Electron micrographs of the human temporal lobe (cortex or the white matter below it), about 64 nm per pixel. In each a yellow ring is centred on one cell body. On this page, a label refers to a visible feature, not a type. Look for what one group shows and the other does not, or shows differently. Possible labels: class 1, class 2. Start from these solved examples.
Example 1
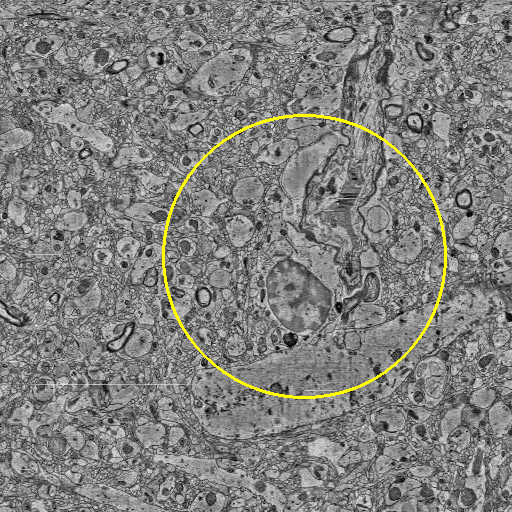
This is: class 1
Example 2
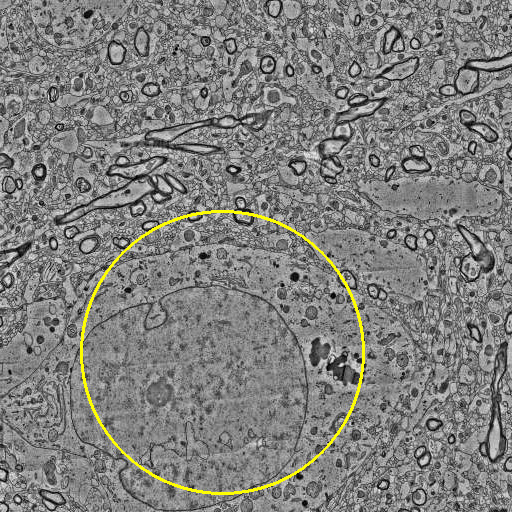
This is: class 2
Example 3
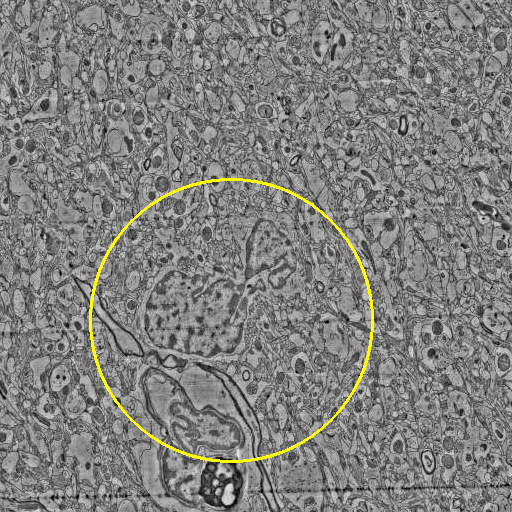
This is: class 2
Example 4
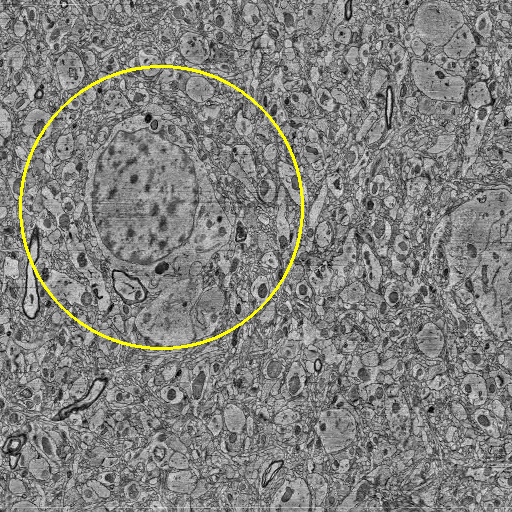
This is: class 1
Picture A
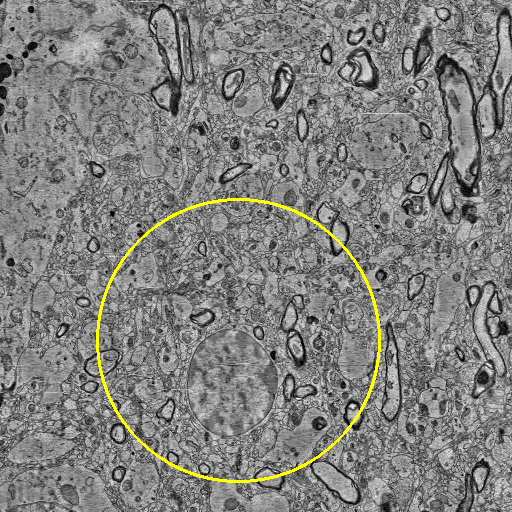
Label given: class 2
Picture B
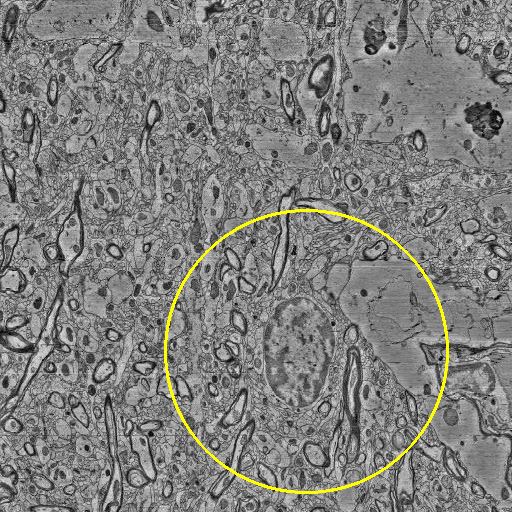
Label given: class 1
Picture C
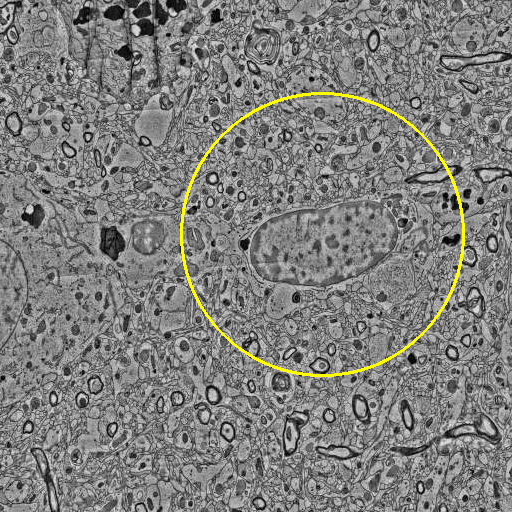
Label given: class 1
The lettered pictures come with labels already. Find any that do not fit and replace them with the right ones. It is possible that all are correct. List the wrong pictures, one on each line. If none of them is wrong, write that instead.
A: not class 2 but class 1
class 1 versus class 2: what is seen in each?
In class 1: smooth nuclear envelopes without deep folds. In class 2: deeply folded or indented nuclear envelopes.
